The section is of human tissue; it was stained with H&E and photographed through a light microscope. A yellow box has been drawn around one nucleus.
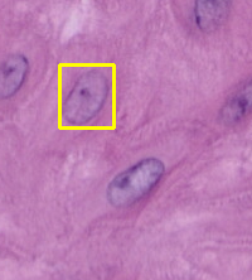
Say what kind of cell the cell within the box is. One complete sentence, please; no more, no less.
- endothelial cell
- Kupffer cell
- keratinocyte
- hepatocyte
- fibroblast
In cell-type terms, the cell within the box is a keratinocyte.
